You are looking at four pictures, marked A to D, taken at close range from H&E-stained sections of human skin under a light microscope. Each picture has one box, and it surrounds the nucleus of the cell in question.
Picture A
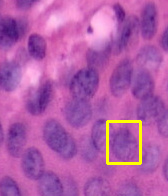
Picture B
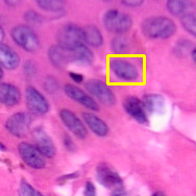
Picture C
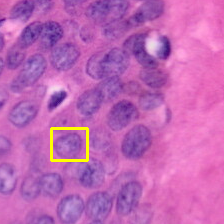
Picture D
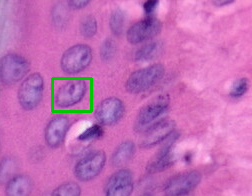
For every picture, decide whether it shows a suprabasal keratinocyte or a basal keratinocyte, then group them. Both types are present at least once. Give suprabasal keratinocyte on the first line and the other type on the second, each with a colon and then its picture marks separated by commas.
suprabasal keratinocyte: A, C, D
basal keratinocyte: B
